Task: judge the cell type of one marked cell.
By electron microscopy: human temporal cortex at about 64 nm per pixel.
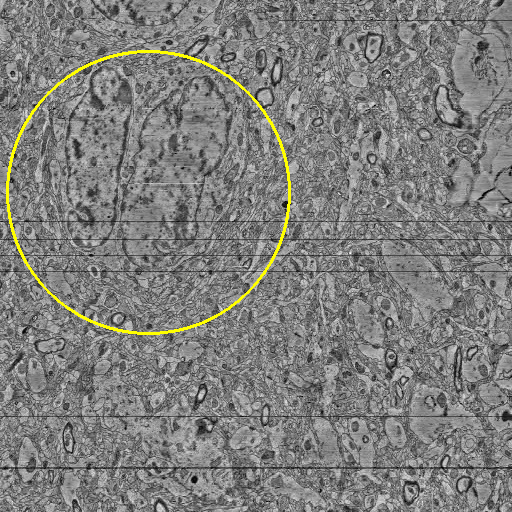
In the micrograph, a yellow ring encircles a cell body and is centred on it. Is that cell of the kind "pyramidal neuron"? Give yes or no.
no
